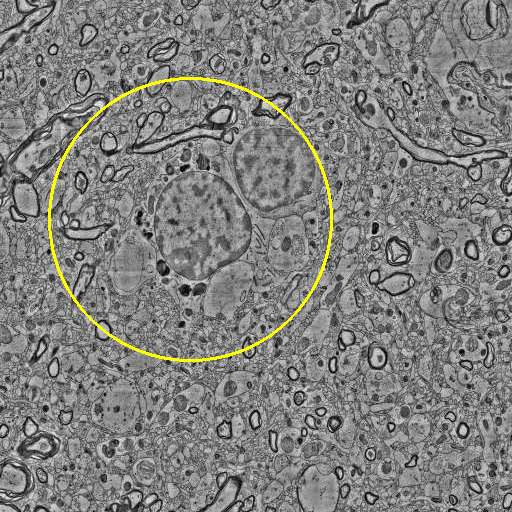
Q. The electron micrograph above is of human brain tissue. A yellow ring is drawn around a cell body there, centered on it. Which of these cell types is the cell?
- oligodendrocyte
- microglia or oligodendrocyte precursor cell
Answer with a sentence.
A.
The cell under the ring's center is a microglial cell or oligodendrocyte precursor cell.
